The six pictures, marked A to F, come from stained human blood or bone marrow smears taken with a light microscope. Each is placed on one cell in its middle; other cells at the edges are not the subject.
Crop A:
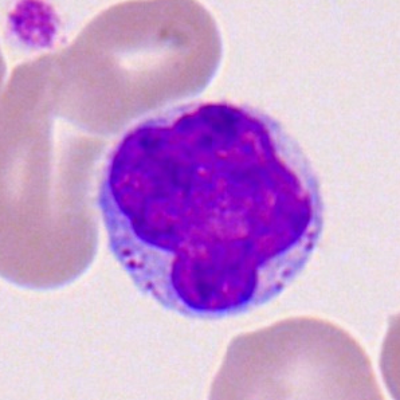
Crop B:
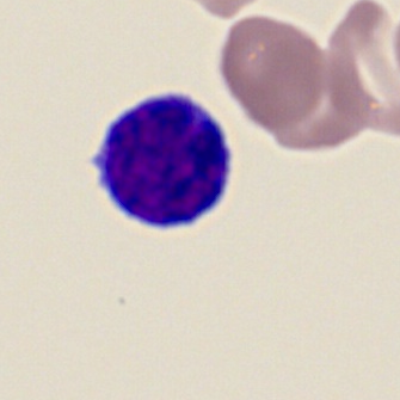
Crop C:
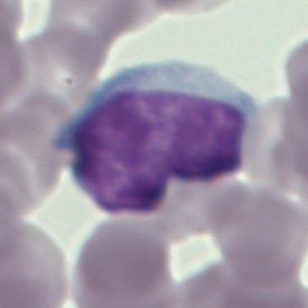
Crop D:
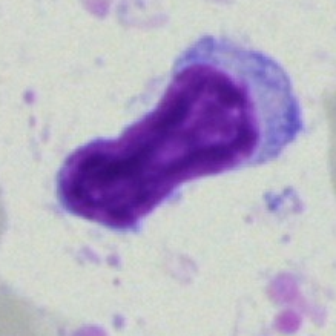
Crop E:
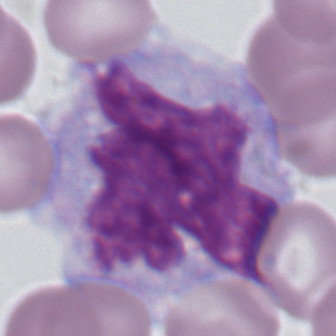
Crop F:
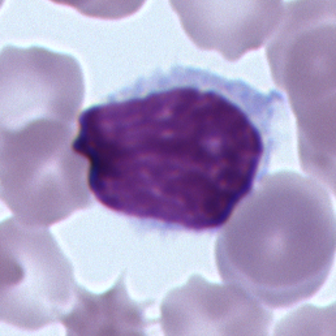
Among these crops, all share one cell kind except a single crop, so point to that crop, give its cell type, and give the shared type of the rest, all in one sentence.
While crop E shows a monocyte, the other crops all show lymphocytes.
